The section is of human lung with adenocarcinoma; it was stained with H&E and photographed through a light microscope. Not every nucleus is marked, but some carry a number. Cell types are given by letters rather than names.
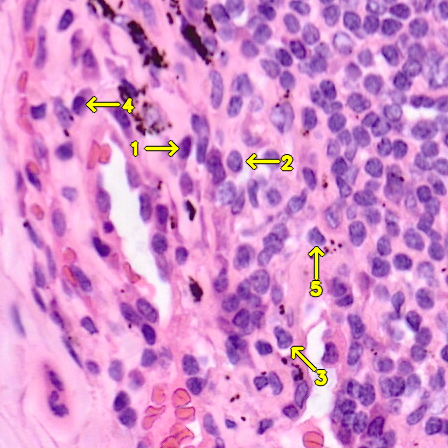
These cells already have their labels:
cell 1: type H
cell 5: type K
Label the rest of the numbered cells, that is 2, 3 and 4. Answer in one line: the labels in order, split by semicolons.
type K; type K; type H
